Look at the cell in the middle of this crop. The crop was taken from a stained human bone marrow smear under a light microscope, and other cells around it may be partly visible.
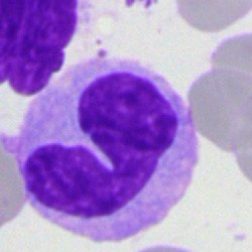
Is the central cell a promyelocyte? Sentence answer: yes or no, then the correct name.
No, the central cell is classed as a monocyte, not a promyelocyte.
